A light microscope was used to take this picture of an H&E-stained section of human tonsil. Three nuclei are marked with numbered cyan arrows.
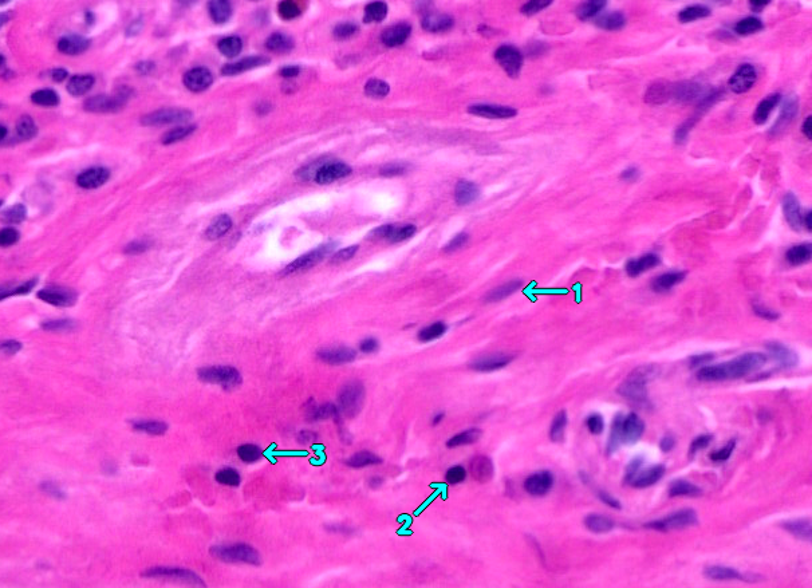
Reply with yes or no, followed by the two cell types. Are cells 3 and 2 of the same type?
Yes, cells 3 and 2 both belong to the category of mast cells.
